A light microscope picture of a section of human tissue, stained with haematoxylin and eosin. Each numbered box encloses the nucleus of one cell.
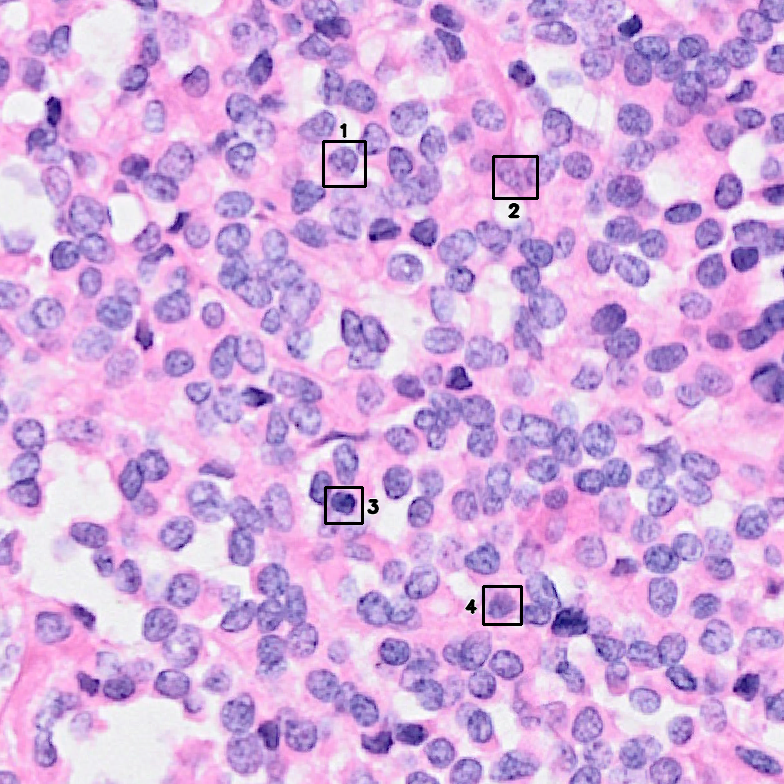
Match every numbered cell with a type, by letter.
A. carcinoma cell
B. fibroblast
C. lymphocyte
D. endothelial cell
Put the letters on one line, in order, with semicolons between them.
A; A; C; A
